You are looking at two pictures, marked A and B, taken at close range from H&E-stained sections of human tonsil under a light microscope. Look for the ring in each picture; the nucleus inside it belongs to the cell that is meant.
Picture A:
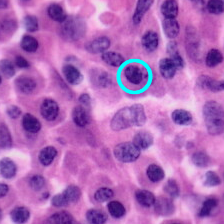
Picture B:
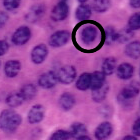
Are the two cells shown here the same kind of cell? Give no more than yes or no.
yes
